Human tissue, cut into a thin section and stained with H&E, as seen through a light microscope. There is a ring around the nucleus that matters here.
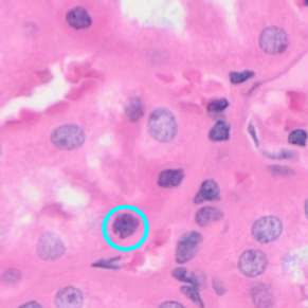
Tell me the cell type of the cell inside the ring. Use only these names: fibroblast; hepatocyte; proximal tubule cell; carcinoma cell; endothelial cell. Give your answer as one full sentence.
To be brief about it, the cell inside the ring is a proximal tubule cell.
